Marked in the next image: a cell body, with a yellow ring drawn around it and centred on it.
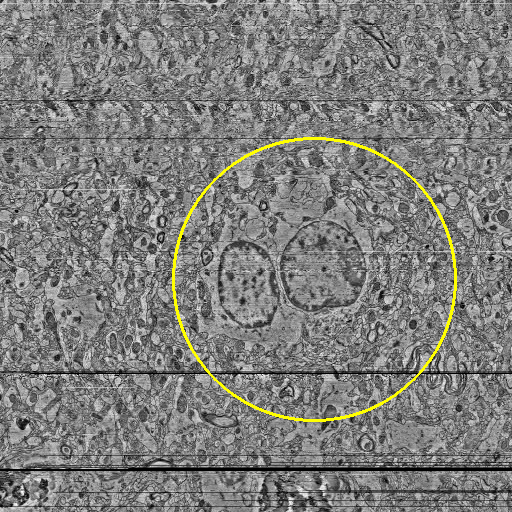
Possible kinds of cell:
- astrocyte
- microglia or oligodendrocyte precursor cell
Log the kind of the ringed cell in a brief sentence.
The ringed cell body is that of an astrocyte.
